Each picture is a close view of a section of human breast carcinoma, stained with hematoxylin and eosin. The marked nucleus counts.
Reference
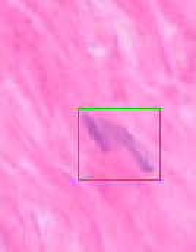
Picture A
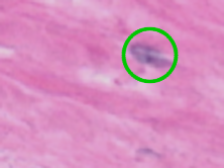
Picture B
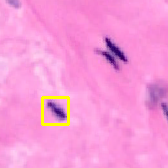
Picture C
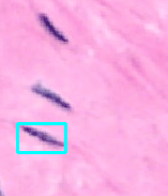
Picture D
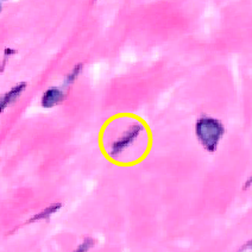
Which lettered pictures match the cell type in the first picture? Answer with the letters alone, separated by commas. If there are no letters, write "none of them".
A, B, C, D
